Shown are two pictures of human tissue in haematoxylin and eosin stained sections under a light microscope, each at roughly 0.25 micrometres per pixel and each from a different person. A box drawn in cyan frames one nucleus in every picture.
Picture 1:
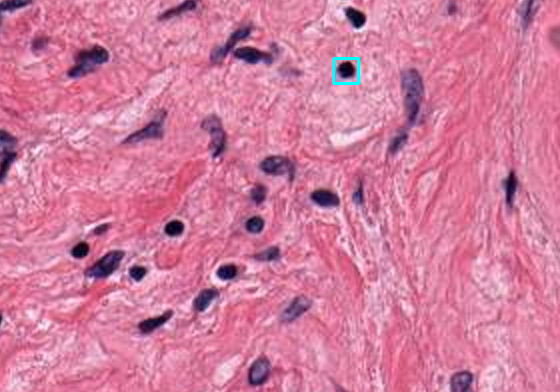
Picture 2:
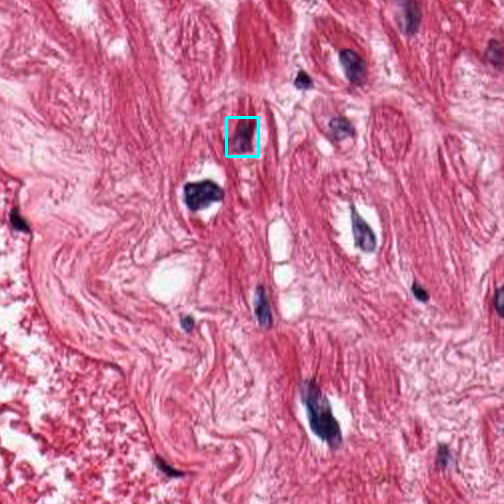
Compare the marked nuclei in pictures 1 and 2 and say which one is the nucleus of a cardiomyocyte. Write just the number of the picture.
2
